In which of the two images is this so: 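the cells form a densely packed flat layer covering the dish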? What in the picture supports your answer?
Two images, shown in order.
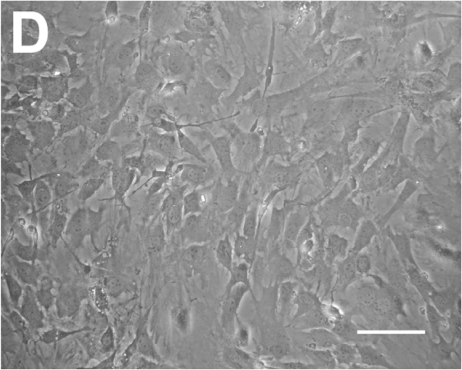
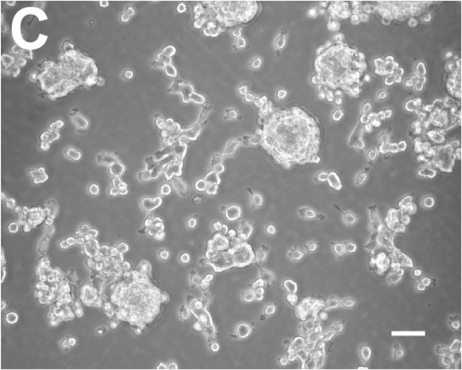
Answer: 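Second image: cells gather in rounded clusters and clumps with open dish between them. First image: flat spread cells cover the whole field in one layer. That points to this answer: the first image.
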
